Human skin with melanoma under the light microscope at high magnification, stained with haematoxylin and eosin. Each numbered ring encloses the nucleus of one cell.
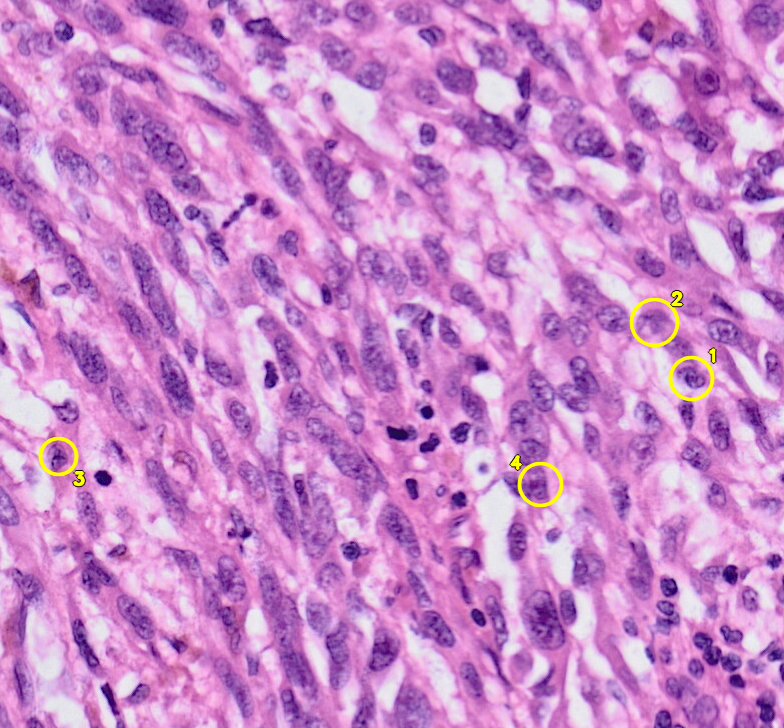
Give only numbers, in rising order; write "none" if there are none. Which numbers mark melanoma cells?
1, 2, 4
